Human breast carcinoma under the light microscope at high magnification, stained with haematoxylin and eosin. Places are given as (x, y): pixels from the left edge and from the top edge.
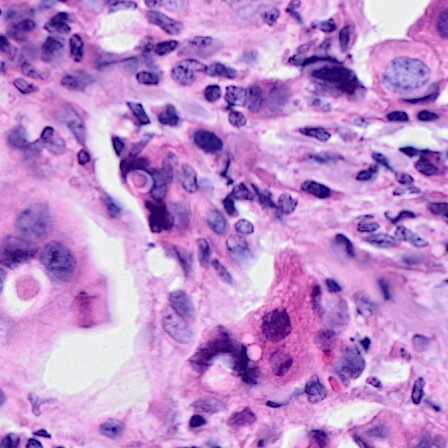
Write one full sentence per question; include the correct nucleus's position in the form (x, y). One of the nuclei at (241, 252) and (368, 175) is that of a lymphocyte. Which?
The nucleus of the pair that lies within a lymphocyte is at (368, 175).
